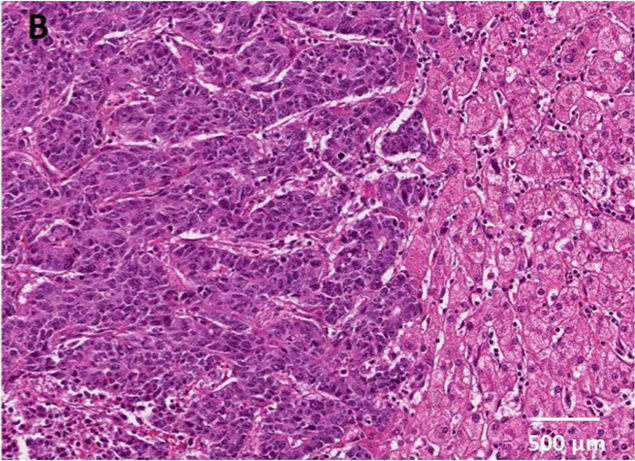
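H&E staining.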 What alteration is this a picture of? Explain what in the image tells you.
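Cancer cells grow into the liver cell plate and replace the hepatocytes. Crowded cells with dark, enlarged nuclei fill the left part. Larger polygonal cells with pale pink cytoplasm and round nuclei lie in cords on the right. The two cell populations abut directly, with no fibrous band between them.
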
